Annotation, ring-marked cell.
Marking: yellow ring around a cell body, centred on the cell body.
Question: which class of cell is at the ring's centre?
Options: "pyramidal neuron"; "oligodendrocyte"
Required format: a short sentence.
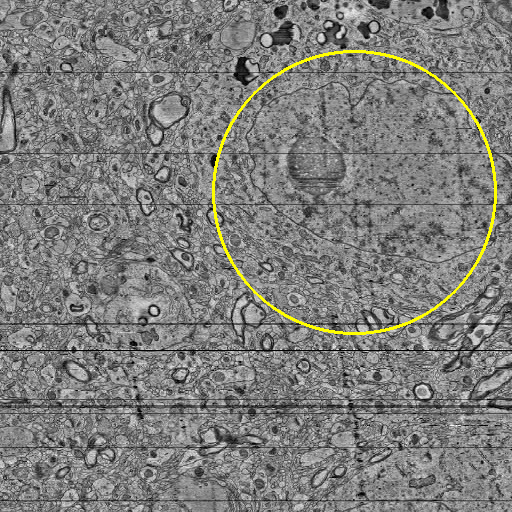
At the ring's centre is a pyramidal neuron.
